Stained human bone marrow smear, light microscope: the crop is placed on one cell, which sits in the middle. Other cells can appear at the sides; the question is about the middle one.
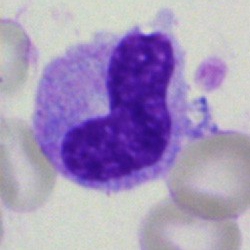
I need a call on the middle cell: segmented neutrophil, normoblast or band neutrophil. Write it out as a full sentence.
The cell the crop is centered on is a band neutrophil.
